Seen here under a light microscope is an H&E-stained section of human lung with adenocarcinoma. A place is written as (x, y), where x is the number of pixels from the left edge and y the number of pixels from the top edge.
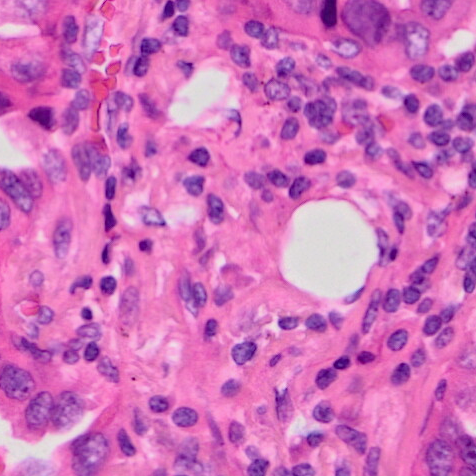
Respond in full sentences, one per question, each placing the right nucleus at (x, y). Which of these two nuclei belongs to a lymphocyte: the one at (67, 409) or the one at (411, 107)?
The nucleus at (411, 107) is contained in a lymphocyte.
